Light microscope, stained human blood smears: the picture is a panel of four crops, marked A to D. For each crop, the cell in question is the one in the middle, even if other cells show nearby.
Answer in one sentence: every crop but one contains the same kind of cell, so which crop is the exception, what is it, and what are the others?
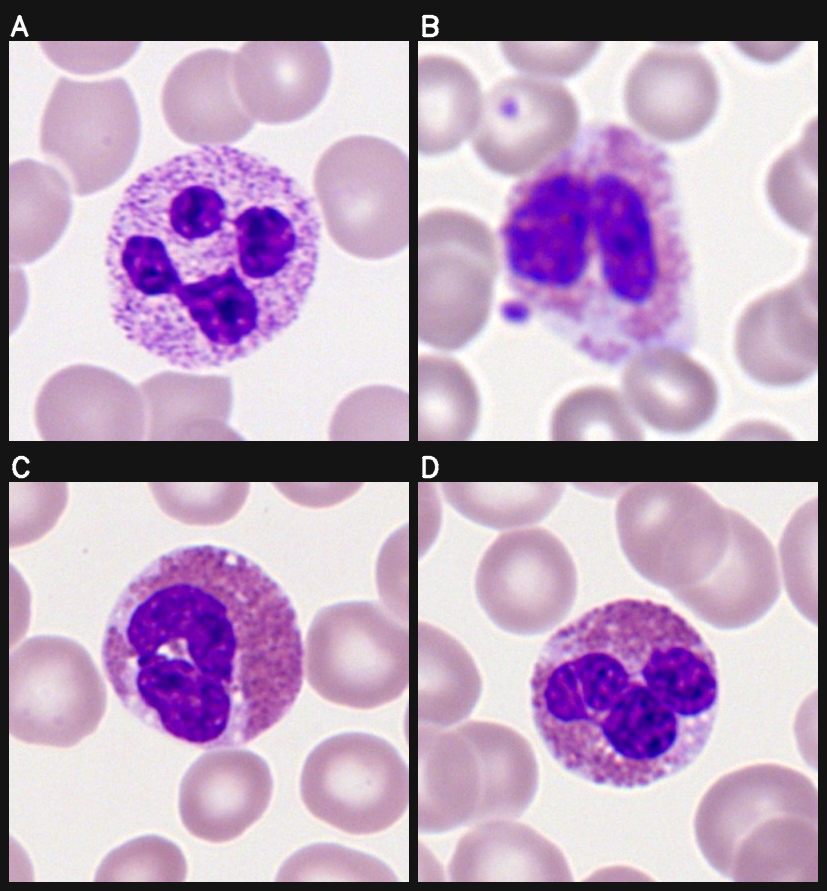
Where the others show eosinophils, crop A shows a segmented neutrophil.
